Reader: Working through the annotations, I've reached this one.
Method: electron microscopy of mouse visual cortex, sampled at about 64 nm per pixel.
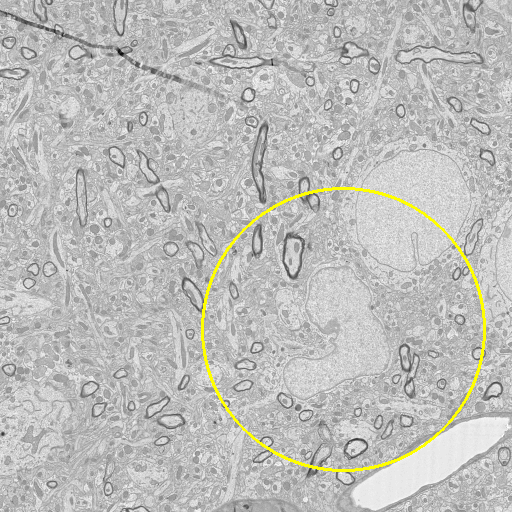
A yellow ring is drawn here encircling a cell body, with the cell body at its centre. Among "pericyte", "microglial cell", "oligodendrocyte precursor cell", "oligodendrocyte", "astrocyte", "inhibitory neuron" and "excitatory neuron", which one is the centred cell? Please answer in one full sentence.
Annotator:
The cell body at the centre of the yellow ring in this image belongs to an oligodendrocyte precursor cell.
